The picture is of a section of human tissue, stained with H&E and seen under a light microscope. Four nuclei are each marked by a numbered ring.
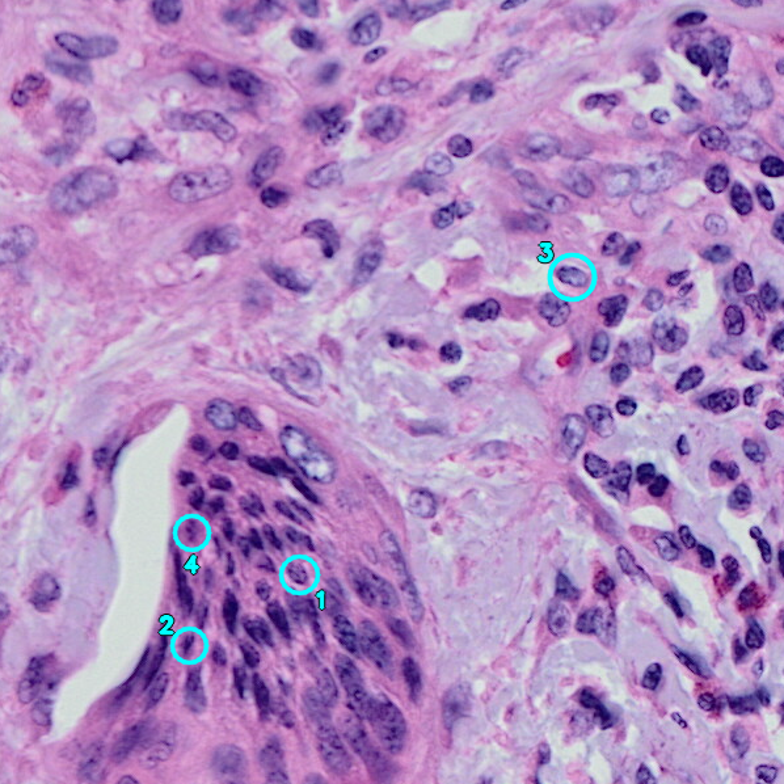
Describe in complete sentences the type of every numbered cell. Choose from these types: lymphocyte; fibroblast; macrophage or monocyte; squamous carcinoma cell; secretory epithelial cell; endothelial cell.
Cells 1, 2 and 4 are squamous carcinoma cells. Cell 3 is a lymphocyte.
